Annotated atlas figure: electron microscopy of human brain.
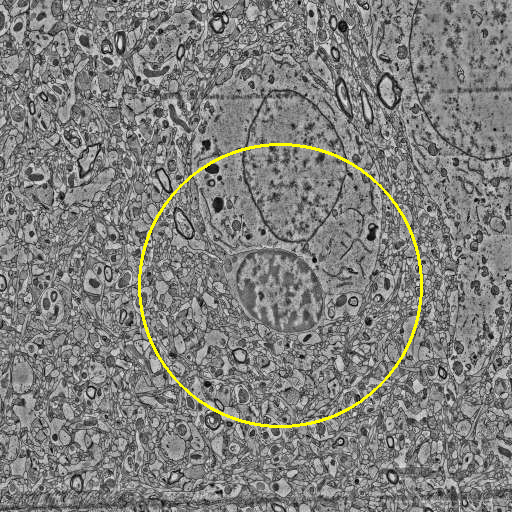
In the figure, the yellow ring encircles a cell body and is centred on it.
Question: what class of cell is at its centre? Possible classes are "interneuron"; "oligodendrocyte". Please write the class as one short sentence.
The yellow ring is drawn around an oligodendrocyte.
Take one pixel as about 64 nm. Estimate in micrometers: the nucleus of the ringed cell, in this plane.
In this plane, about 6 micrometres in length and 5 in width.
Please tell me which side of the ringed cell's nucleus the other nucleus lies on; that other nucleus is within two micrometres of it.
The other one is above it.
